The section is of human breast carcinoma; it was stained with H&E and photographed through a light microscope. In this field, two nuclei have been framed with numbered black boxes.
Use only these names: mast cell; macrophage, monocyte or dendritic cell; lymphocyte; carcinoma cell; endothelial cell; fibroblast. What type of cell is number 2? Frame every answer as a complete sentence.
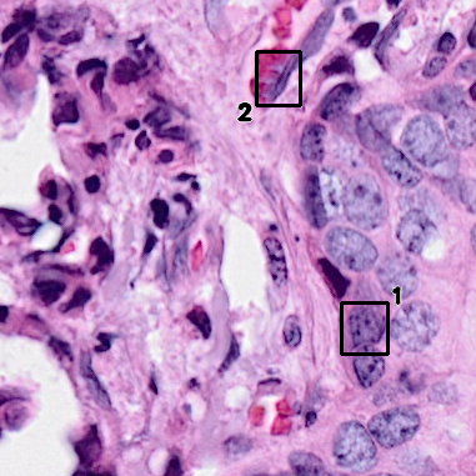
The cell referenced by the number 2 is an endothelial cell in this field.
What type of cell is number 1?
In this section, the cell tagged 1 is a carcinoma cell.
